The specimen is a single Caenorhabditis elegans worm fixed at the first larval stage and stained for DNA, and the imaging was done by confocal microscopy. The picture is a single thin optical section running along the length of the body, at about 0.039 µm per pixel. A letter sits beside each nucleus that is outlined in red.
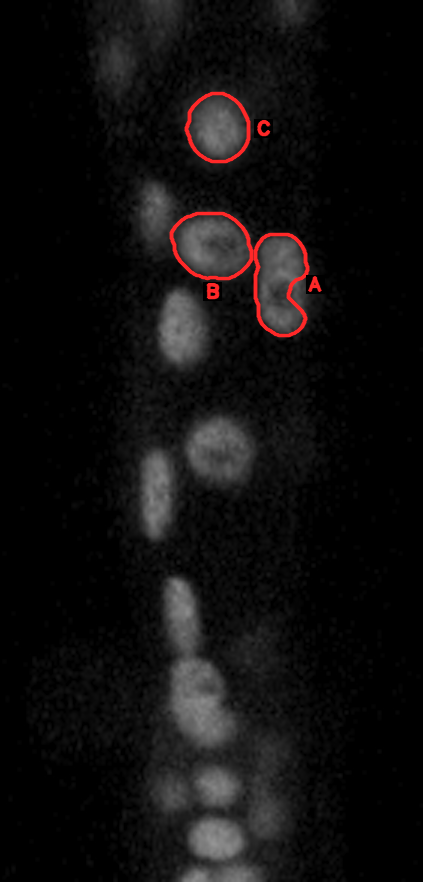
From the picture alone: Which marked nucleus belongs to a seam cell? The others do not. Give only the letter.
B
